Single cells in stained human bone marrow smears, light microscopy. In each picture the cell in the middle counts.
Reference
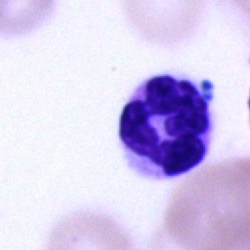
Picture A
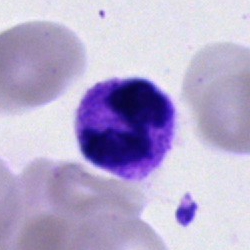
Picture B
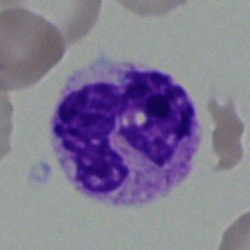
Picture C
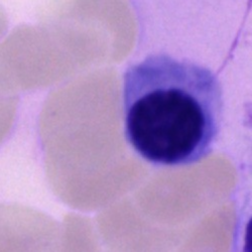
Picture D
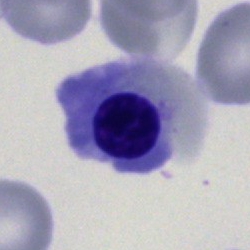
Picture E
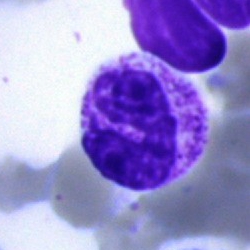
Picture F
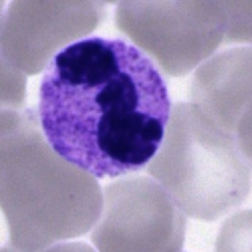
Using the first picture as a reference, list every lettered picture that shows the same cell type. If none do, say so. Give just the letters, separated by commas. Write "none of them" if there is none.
A, B, F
